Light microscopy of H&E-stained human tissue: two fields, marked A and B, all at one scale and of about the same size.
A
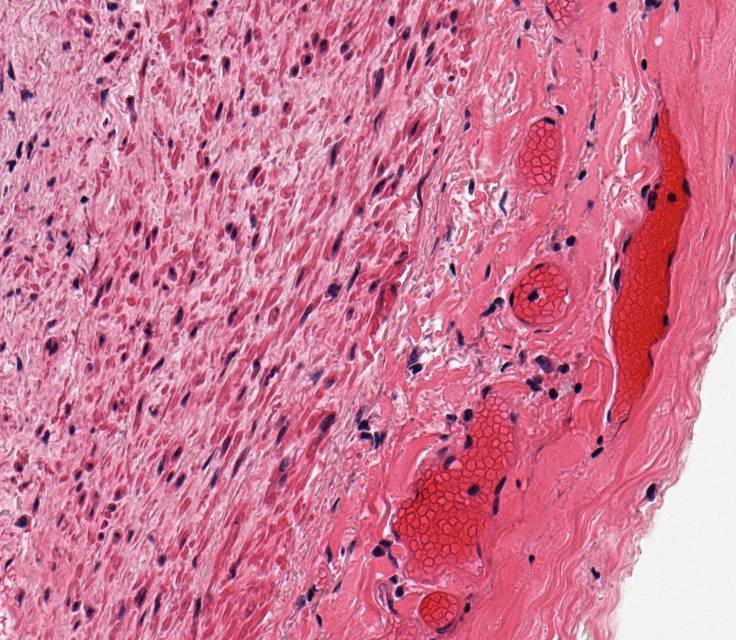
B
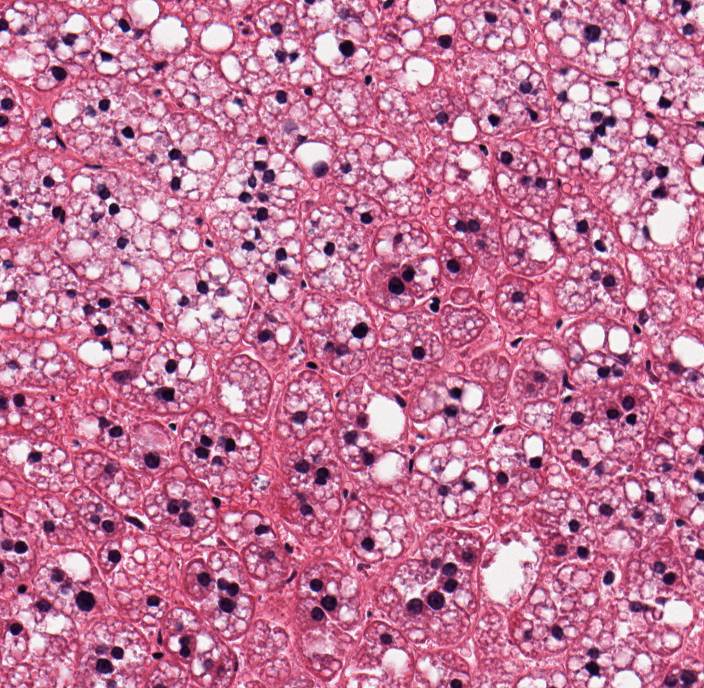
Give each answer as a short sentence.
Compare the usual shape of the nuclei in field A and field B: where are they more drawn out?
It is field A whose nuclei are the more elongated.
